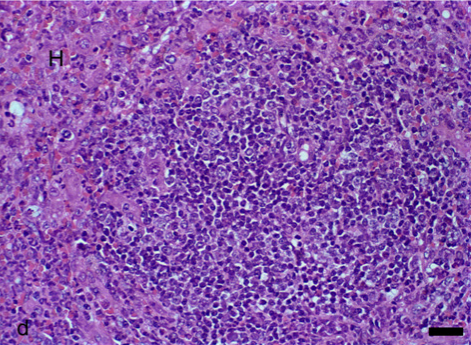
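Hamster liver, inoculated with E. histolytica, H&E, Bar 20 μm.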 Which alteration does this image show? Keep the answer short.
Focal infiltrates predominantly composed of lymphocytes and macrophages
